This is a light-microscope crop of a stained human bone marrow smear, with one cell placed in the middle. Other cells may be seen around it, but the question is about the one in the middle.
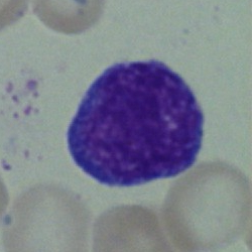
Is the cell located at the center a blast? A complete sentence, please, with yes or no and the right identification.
Yes, the centred cell is categorised as a blast.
